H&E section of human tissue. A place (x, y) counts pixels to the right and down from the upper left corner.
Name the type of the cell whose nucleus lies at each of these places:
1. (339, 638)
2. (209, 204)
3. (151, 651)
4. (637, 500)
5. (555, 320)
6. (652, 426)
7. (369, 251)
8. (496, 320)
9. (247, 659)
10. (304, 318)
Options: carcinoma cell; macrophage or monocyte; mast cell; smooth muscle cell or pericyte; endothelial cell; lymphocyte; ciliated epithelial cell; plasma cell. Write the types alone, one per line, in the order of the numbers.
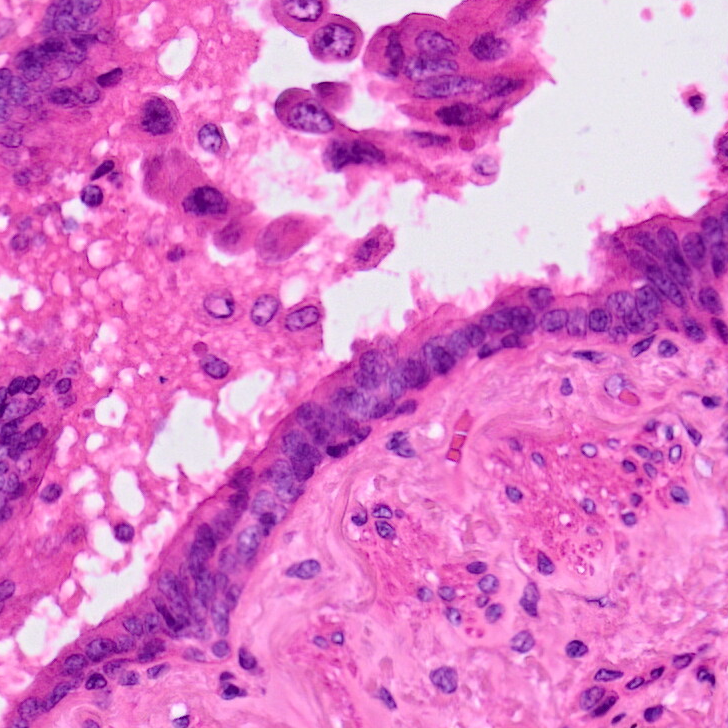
smooth muscle cell or pericyte
carcinoma cell
ciliated epithelial cell
smooth muscle cell or pericyte
ciliated epithelial cell
smooth muscle cell or pericyte
macrophage or monocyte
ciliated epithelial cell
plasma cell
macrophage or monocyte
